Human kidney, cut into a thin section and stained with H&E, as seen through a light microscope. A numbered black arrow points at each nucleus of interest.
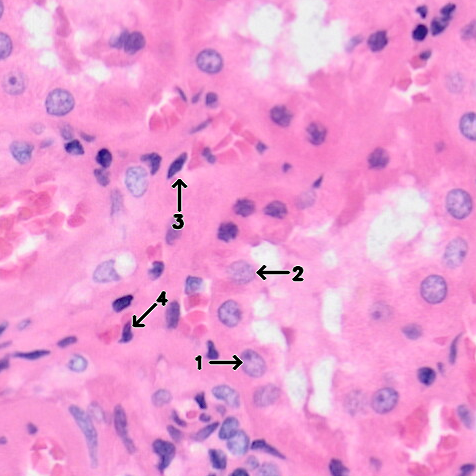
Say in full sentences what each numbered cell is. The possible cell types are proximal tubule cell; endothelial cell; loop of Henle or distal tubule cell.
Cell 1 is a proximal tubule cell, cell 2 is a proximal tubule cell, cell 3 is an endothelial cell and cell 4 is an endothelial cell.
